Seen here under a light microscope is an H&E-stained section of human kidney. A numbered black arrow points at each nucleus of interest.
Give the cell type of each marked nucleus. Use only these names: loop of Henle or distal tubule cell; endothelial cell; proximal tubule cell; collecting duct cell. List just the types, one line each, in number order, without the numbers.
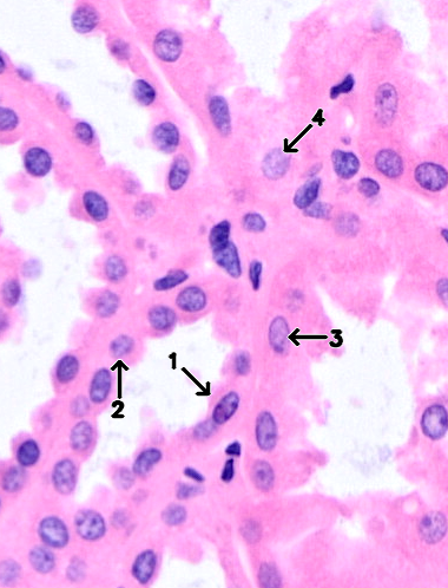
loop of Henle or distal tubule cell
loop of Henle or distal tubule cell
proximal tubule cell
proximal tubule cell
